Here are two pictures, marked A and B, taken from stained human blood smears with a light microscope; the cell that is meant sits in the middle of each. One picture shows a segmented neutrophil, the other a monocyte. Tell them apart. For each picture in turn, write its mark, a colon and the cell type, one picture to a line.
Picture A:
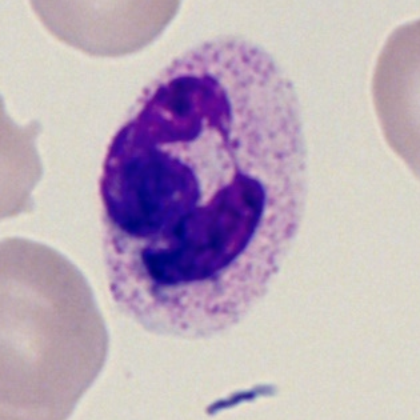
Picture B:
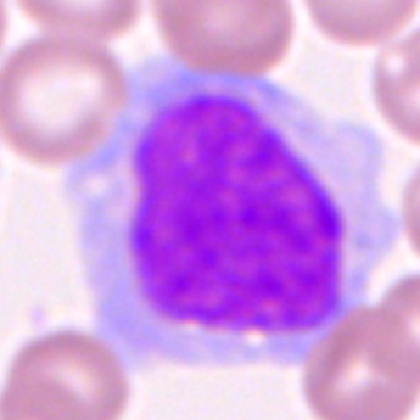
A: segmented neutrophil
B: monocyte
